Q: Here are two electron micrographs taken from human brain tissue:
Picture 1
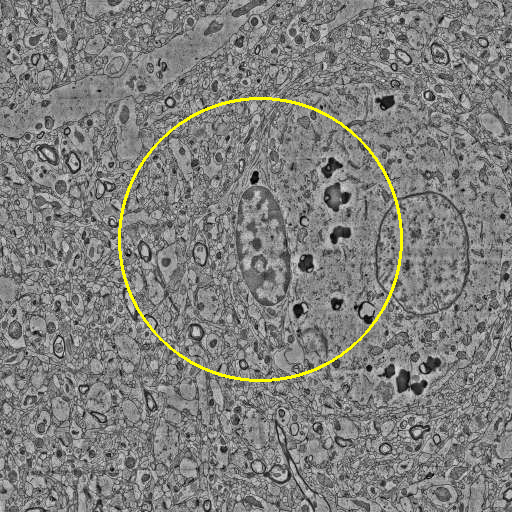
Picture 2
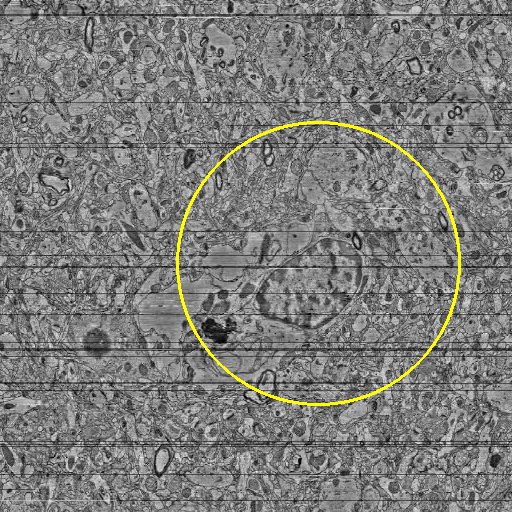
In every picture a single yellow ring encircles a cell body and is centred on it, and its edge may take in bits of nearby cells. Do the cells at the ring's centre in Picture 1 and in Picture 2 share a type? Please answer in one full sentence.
Yes, the cells at the ring's centre in Picture 1 and Picture 2 share a type.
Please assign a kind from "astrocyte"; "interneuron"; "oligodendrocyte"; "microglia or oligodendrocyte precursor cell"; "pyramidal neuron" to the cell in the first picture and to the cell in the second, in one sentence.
Each cell, in the first picture and the second, is a microglial cell or oligodendrocyte precursor cell.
